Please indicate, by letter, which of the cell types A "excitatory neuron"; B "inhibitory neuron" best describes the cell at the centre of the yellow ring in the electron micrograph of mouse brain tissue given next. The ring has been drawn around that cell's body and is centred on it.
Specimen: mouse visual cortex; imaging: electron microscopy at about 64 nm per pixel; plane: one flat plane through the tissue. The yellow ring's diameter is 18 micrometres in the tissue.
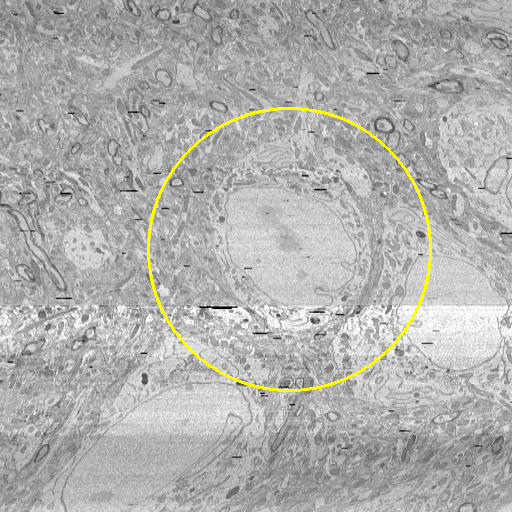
B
